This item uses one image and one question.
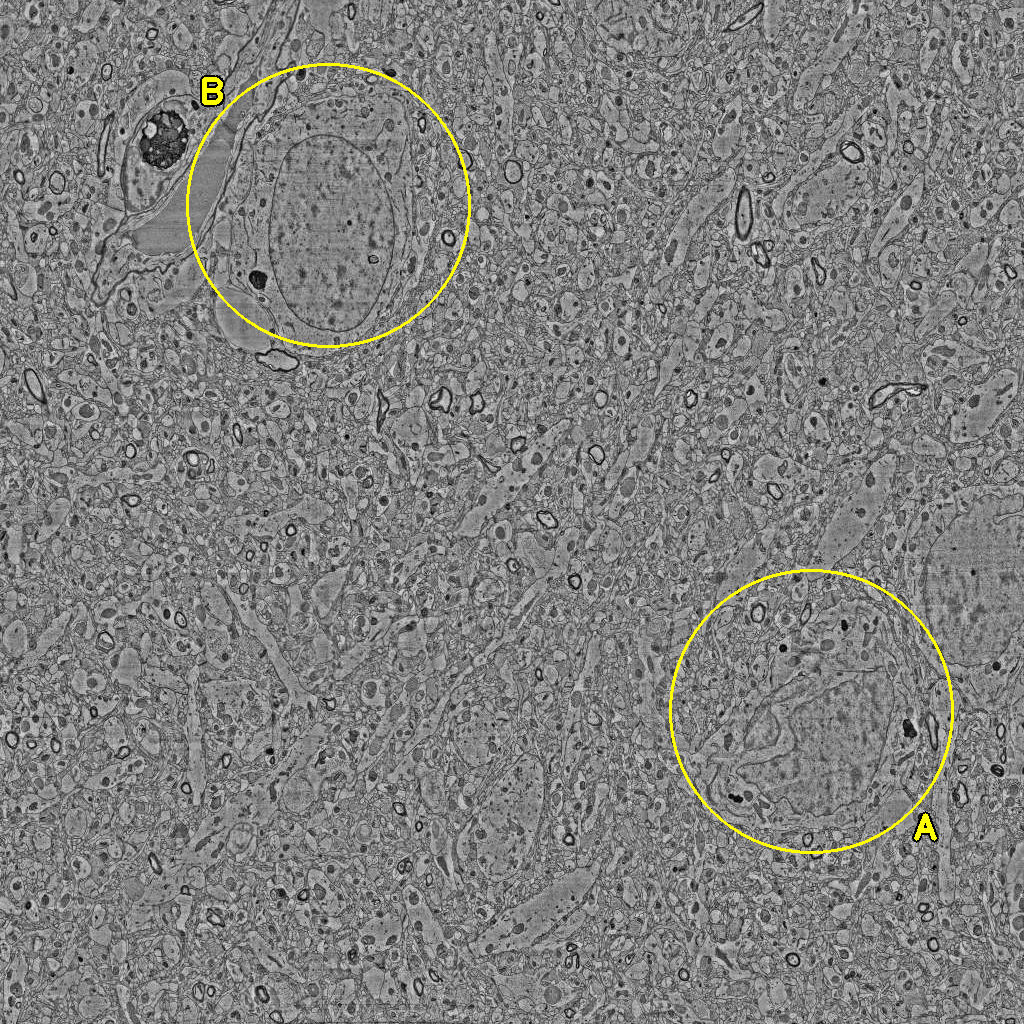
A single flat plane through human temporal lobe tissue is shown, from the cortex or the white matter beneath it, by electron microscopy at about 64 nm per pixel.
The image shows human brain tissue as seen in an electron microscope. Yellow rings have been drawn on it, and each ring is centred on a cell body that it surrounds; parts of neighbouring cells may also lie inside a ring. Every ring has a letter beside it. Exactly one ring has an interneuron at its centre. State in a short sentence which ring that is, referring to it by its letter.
Ring A has that cell at its centre.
